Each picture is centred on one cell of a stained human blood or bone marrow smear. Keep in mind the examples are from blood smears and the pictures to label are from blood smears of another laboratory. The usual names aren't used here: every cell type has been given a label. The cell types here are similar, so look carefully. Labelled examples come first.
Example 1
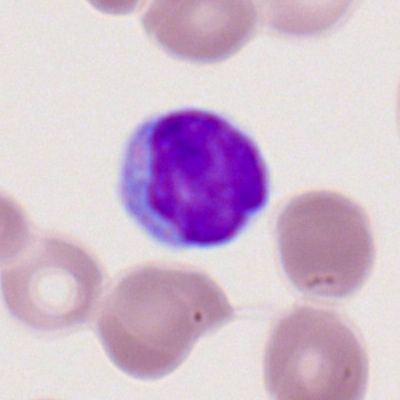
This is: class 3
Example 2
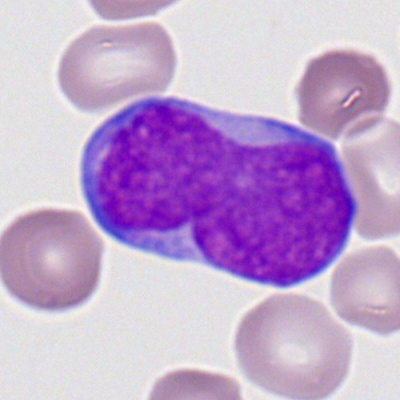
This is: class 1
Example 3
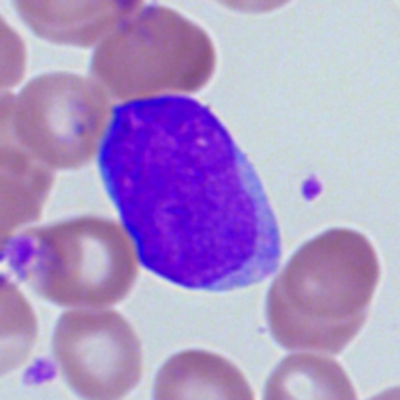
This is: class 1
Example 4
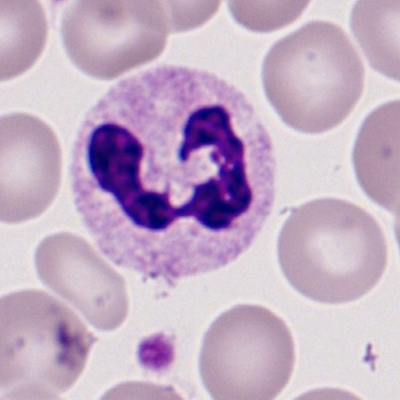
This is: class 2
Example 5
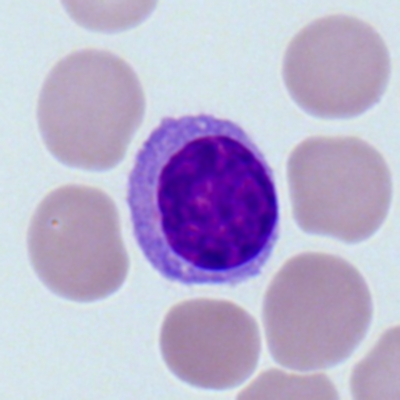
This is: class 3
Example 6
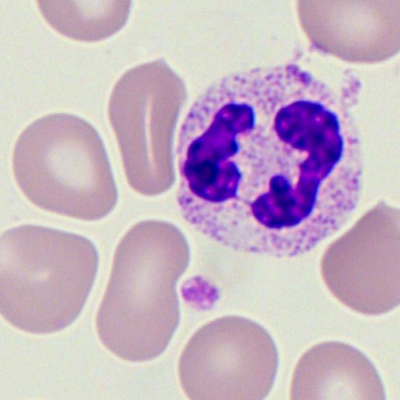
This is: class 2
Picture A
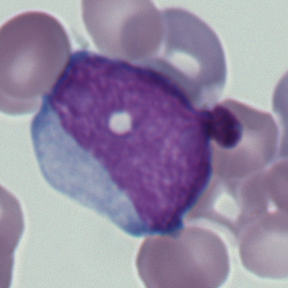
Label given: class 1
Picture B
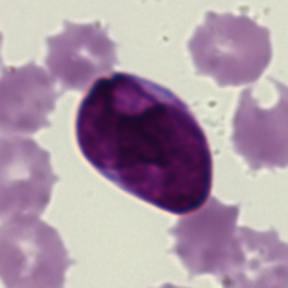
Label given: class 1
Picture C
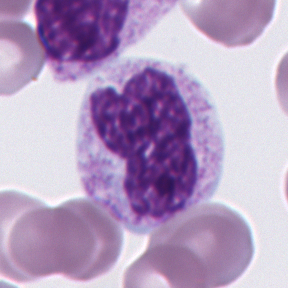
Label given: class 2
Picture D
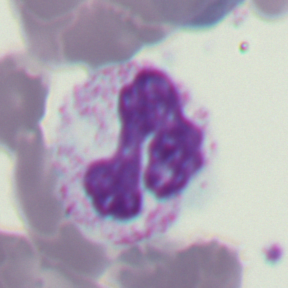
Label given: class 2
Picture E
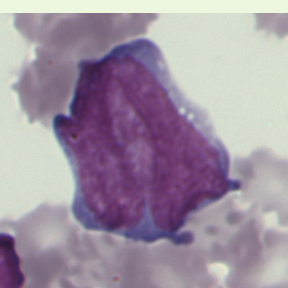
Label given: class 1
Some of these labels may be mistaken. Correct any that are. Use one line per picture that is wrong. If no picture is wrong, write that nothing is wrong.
No label is wrong.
